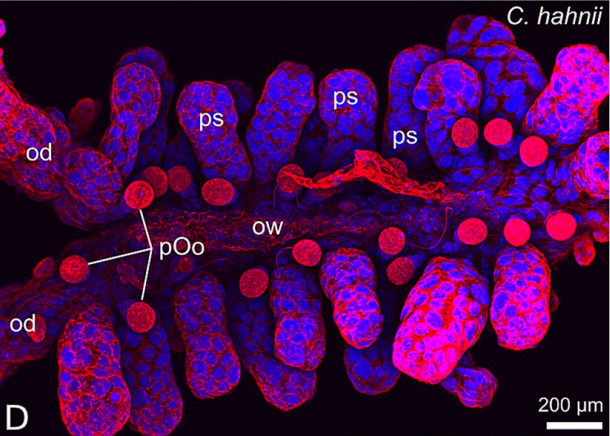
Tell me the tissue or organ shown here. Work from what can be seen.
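A central elongate tube bears many finger-like sac-shaped outgrowths on both sides. Round red-stained cells sit along the tube between the outgrowths. So: ovary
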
